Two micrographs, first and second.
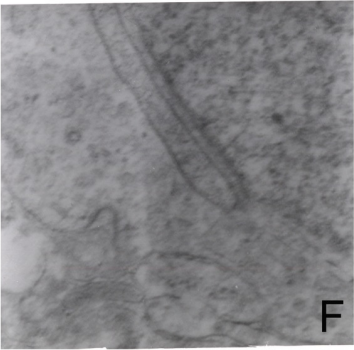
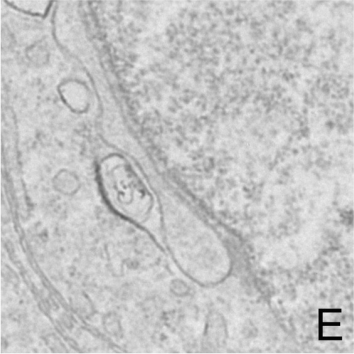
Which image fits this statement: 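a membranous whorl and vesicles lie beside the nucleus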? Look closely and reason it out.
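First image: the cytoplasm beside the nuclear envelope shows no whorled membrane body or cluster of small vesicles. So: the second image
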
